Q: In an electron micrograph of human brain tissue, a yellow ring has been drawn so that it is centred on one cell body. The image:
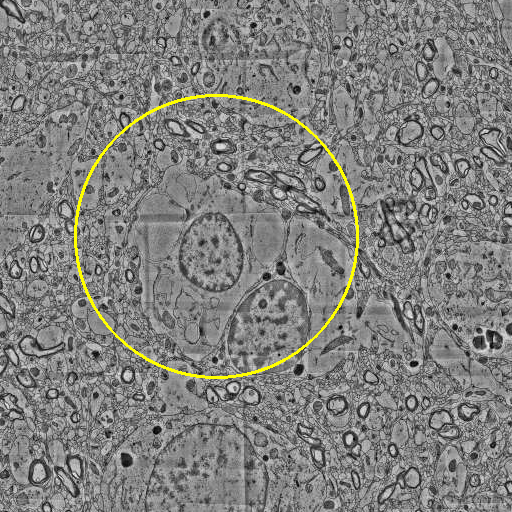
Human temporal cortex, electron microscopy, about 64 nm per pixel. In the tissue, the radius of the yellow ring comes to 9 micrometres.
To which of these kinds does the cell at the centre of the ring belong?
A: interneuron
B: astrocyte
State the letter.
B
